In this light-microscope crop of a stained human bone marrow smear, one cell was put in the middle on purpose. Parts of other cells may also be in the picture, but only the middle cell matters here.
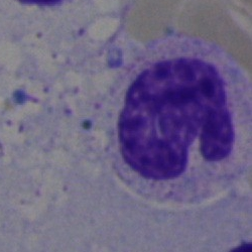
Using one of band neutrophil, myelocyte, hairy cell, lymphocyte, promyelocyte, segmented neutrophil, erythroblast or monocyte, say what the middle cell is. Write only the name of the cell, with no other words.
band neutrophil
